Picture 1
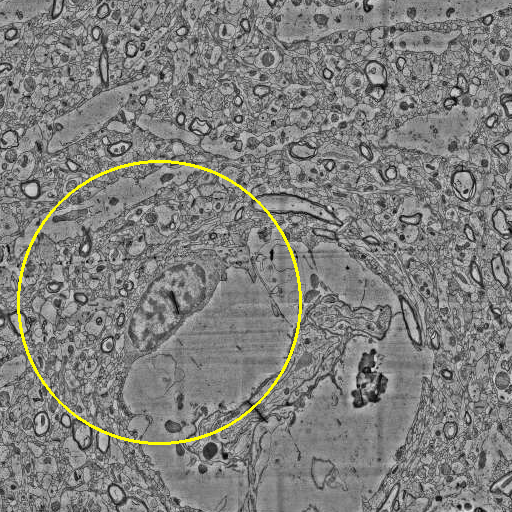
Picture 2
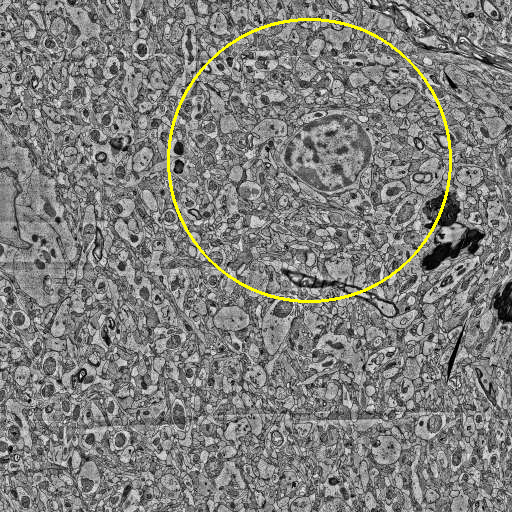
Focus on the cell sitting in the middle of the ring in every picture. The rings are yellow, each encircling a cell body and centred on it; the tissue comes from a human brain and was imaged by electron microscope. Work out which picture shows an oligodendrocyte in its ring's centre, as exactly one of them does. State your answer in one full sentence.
In picture 1, the ring is centred on the cell in question.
